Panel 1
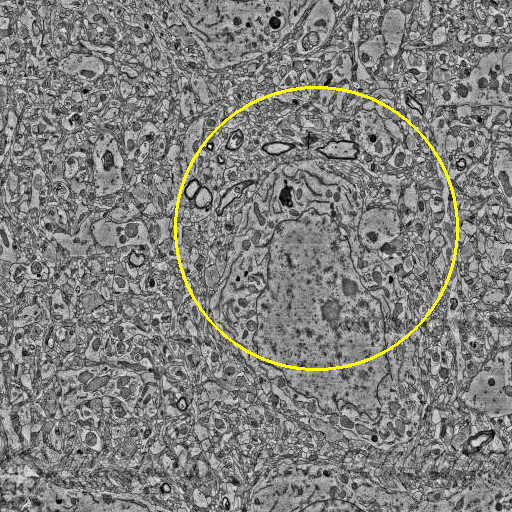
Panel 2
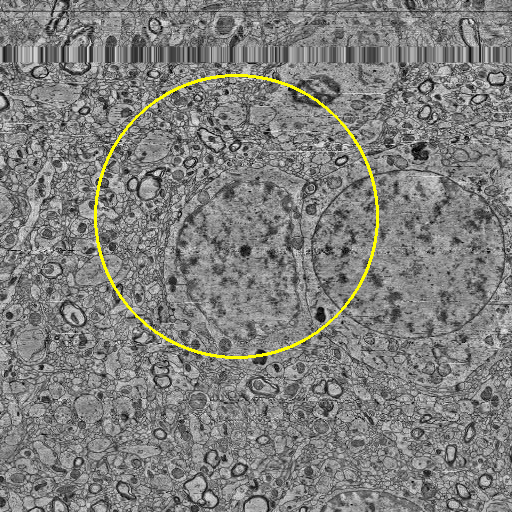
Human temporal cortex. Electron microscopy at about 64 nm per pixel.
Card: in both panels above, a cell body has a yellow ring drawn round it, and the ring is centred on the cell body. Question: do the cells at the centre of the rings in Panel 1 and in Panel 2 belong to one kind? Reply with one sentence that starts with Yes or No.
Yes, the cells centred in the rings of Panel 1 and Panel 2 are one kind of cell.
